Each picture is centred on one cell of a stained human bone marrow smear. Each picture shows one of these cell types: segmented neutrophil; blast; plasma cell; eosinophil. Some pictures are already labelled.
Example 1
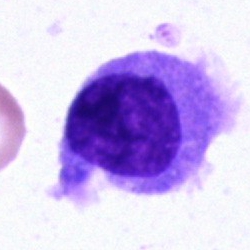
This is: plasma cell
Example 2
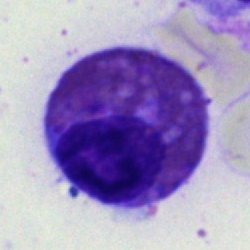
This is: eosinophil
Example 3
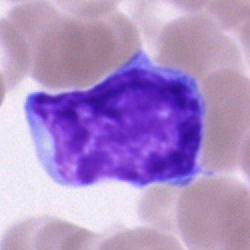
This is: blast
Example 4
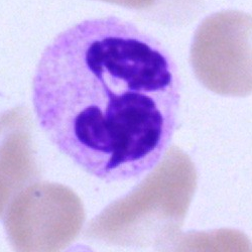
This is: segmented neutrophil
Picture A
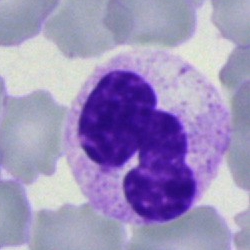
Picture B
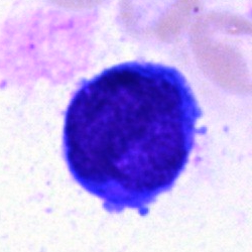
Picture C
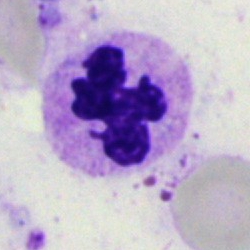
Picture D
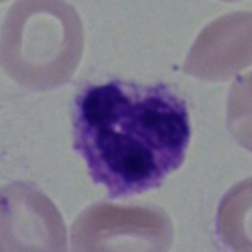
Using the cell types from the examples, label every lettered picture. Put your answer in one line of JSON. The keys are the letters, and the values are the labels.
{"A": "segmented neutrophil", "B": "blast", "C": "segmented neutrophil", "D": "segmented neutrophil"}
